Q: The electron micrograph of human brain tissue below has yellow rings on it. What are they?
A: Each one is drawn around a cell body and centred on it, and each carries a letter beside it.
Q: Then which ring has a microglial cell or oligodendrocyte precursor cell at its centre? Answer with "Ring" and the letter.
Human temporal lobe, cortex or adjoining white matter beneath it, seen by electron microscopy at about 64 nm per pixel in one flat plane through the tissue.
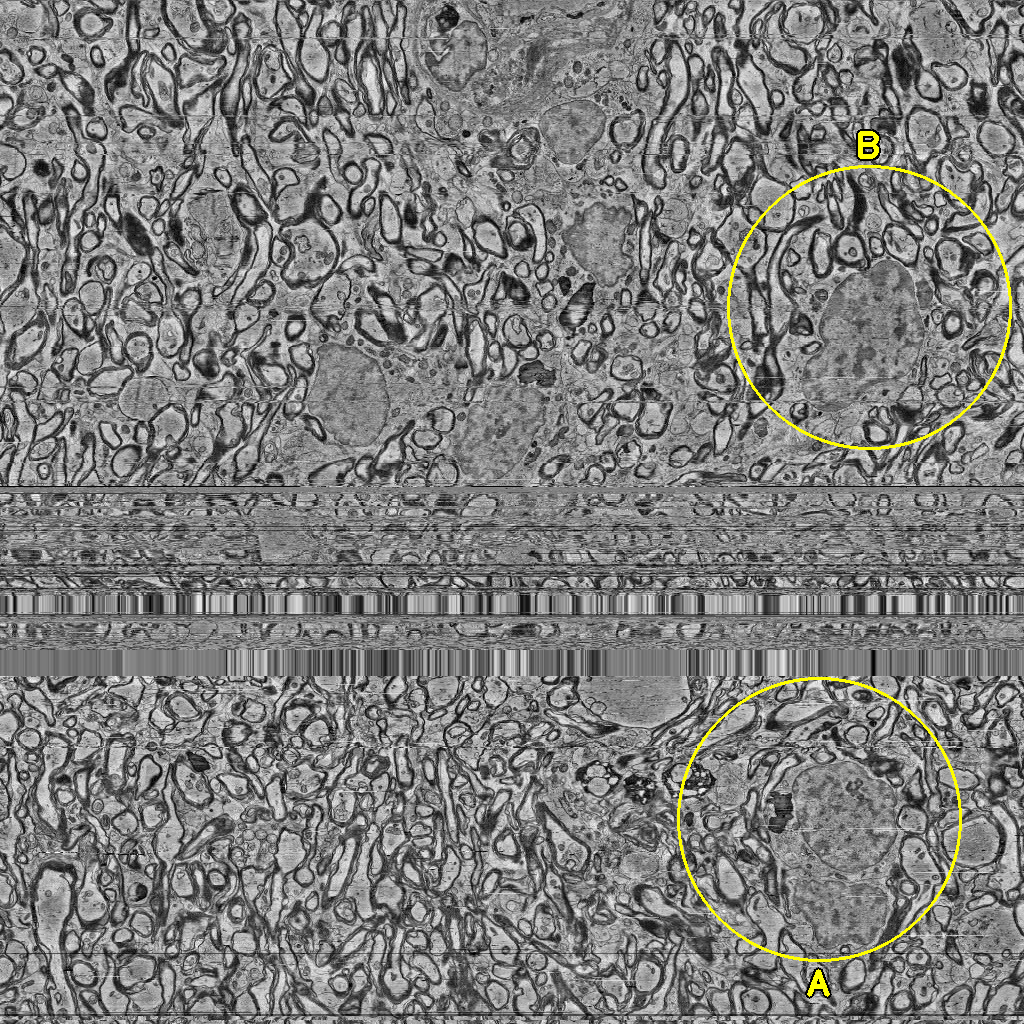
Ring B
